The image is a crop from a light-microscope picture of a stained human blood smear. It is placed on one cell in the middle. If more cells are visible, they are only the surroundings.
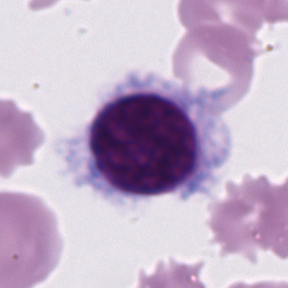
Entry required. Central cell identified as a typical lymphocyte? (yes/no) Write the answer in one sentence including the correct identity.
No, the cell in the middle of the crop counts as a hairy cell and not as a typical lymphocyte.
